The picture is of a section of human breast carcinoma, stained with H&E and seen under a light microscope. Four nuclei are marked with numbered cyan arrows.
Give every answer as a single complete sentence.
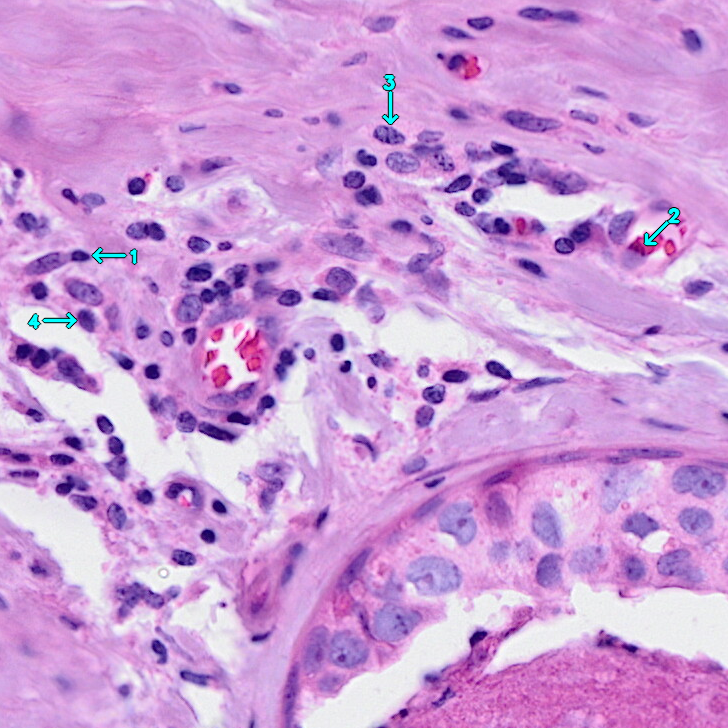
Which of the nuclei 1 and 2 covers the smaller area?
Nucleus 1 is the smaller one; nucleus 2 covers about 2 times its area.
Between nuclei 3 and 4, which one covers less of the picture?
Nucleus 4 is the smaller one; nucleus 3 covers about 1.5 times its area.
